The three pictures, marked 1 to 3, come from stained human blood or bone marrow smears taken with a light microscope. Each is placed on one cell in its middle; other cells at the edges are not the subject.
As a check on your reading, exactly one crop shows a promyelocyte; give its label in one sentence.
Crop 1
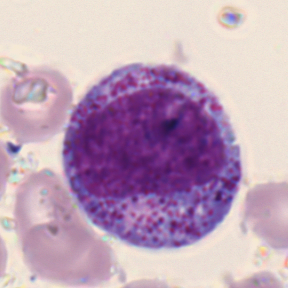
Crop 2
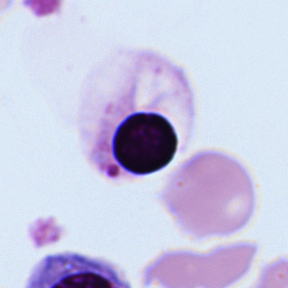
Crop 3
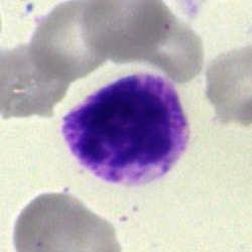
The one showing a promyelocyte is crop 1.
